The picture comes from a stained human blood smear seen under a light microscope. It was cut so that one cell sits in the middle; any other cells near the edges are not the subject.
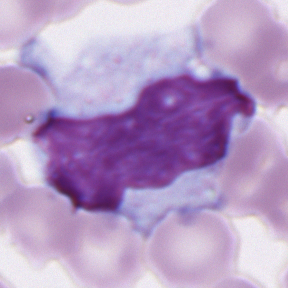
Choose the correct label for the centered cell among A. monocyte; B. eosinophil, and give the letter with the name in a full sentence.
The one cell at the centre is a monocyte, as correctly stated in option A.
